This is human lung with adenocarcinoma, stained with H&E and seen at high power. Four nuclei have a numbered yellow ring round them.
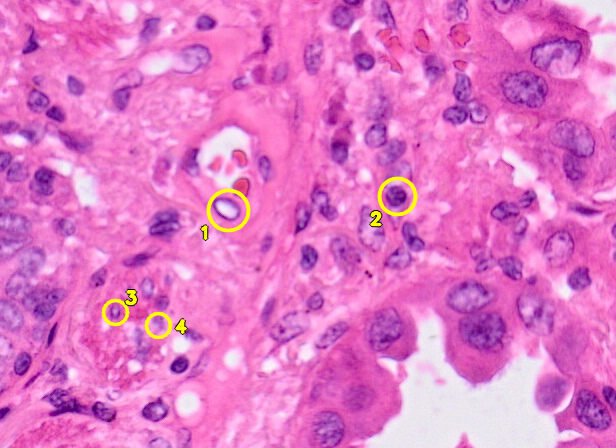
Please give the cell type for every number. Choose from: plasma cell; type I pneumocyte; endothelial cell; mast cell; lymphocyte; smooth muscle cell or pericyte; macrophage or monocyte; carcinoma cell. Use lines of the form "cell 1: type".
cell 1: endothelial cell
cell 2: lymphocyte
cell 3: smooth muscle cell or pericyte
cell 4: smooth muscle cell or pericyte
